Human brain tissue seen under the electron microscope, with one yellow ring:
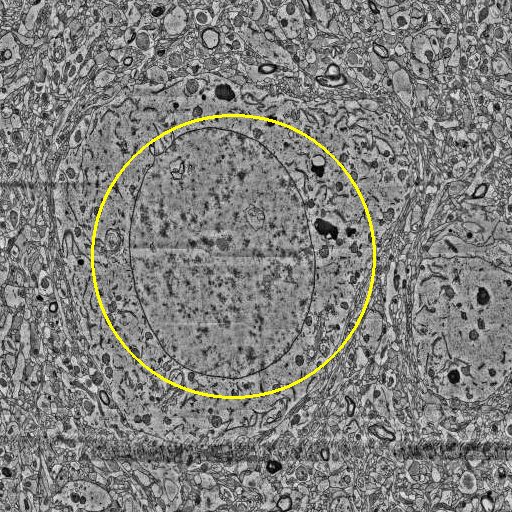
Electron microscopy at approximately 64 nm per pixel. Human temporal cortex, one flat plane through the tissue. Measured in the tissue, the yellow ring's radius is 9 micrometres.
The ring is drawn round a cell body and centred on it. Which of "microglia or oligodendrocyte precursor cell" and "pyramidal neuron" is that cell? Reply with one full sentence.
The picture shows a pyramidal neuron at the very centre of the yellow ring.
